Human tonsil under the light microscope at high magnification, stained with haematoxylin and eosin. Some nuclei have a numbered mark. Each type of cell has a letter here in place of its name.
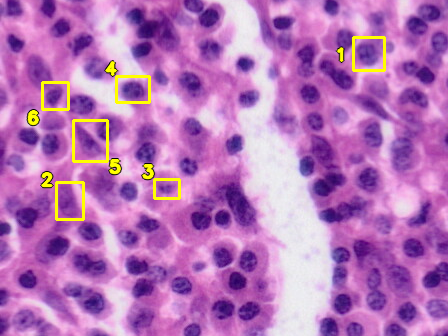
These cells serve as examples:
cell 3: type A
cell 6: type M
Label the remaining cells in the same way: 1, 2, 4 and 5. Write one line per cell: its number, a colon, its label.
1: type A
2: type M
4: type A
5: type M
